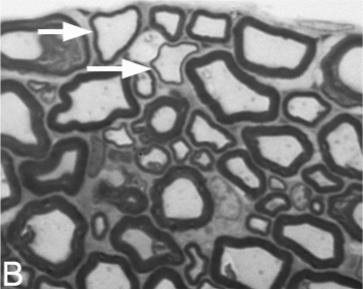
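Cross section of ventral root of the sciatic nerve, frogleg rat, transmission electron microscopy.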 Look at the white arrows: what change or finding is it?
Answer: Axons that were thinly myelinated.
